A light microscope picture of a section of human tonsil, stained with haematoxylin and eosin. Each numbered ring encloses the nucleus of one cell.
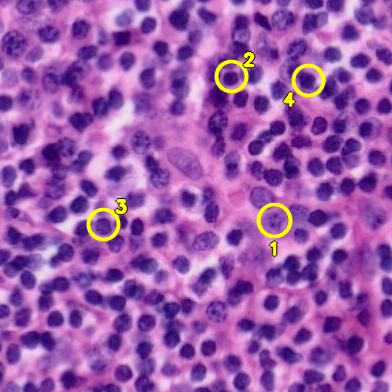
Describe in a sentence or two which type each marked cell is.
Cell 1 is an endothelial cell, cell 2 is a small lymphocyte, cell 3 is a small lymphocyte and cell 4 is a small lymphocyte.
